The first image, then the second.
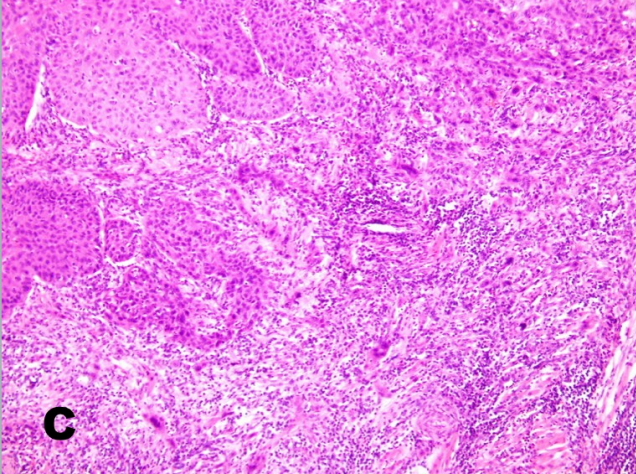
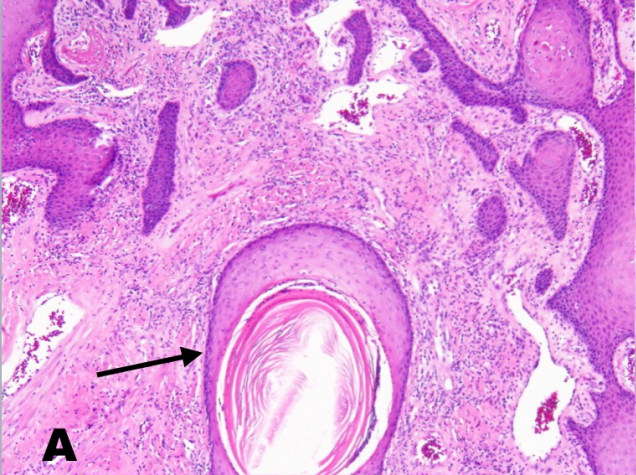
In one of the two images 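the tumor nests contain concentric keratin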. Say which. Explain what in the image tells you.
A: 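First image: the tumor nests are made of pink-purple cells with no pink laminated keratin. Second image: a large nest holds concentric pink keratin lamellae.
Conclusion: the second image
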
